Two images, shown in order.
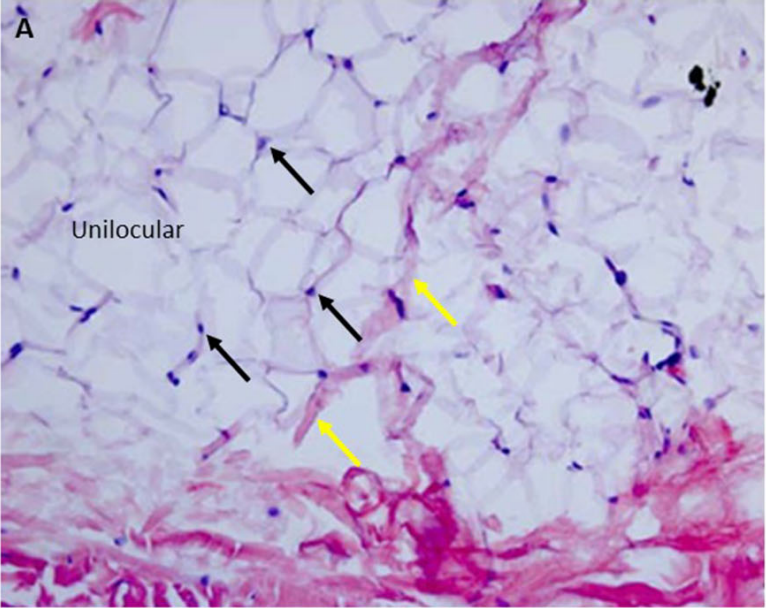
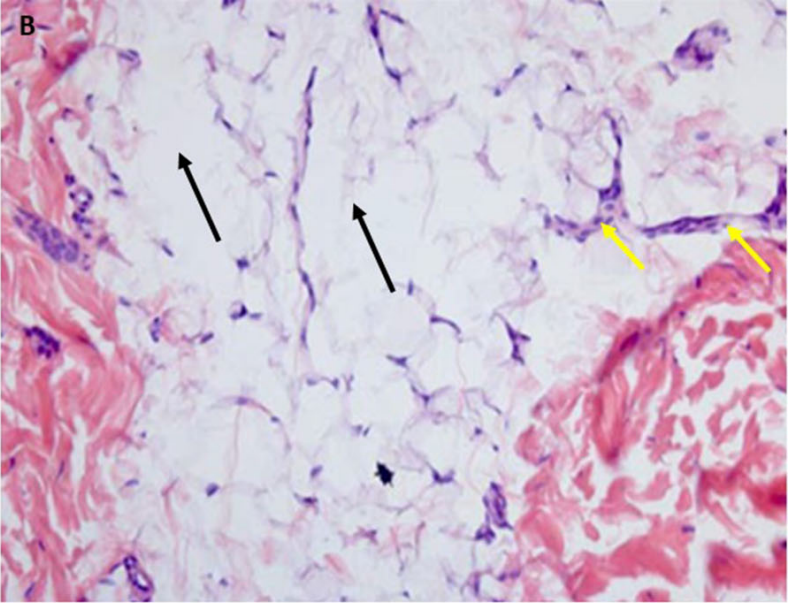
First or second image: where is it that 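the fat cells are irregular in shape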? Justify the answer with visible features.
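Second image: the clear cell outlines are wavy, collapsed and poorly defined. On this evidence: the second image.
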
